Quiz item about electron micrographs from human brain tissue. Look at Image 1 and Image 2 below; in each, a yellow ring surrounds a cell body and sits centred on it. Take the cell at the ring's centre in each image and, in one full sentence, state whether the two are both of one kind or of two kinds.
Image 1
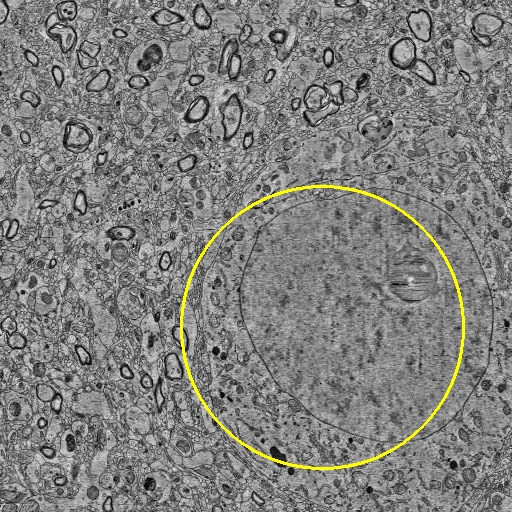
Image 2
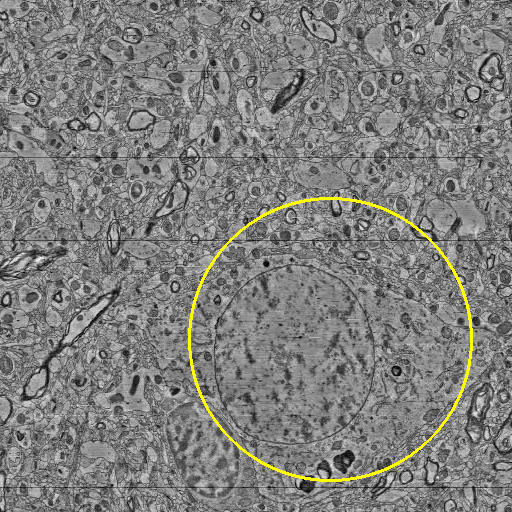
In Image 1 and Image 2, the cells at the ring centres are both of one kind.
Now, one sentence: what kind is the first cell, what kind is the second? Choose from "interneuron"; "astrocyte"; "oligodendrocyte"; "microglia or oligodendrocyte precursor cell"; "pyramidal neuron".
The cell at the ring centre is a pyramidal neuron in both pictures.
